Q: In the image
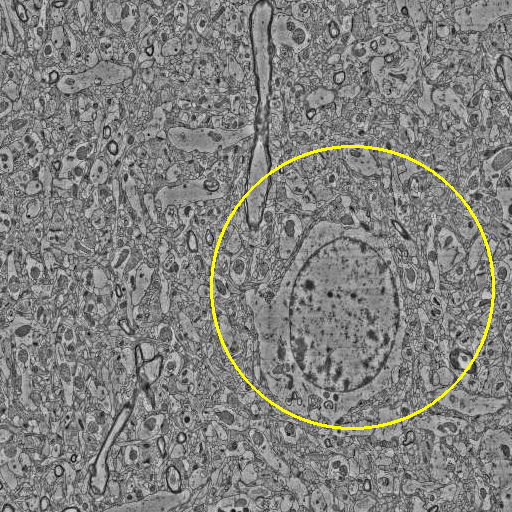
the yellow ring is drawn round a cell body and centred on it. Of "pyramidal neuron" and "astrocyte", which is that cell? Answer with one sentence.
The cell centred in the ring is an astrocyte.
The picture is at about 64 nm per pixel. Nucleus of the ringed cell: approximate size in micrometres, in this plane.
The nucleus has a long axis of about 10 micrometres and a short axis of about 7 micrometres in this plane.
